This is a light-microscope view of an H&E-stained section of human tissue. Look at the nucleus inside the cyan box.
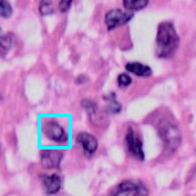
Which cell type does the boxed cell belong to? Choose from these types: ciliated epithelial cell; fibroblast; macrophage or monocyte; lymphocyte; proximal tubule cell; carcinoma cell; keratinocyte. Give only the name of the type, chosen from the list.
macrophage or monocyte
